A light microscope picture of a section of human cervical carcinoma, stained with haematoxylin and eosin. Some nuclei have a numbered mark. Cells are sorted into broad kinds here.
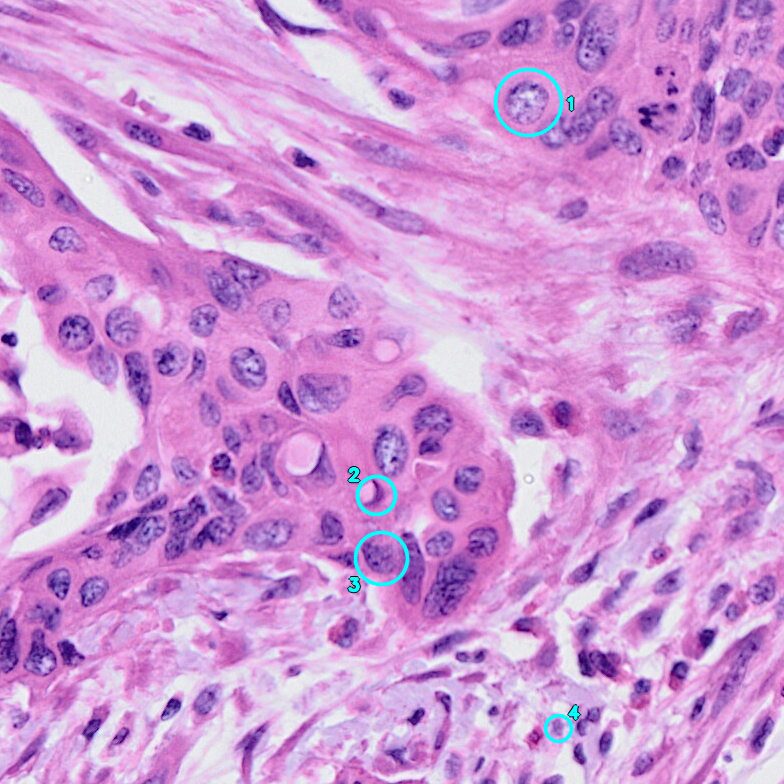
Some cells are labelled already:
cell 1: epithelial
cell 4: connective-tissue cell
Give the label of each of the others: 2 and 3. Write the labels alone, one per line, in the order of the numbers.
epithelial
epithelial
